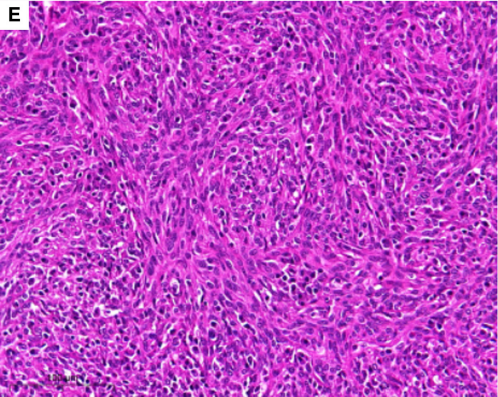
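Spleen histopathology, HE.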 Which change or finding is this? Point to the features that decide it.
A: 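Streaming bundles of neoplastic stromal cells. Elongated cells are arranged in interlacing, streaming bundles. Spindle cells have elongated nuclei and pink cytoplasm. Small round dark nuclei are scattered between the bundles.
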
